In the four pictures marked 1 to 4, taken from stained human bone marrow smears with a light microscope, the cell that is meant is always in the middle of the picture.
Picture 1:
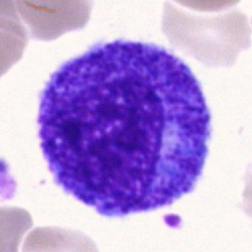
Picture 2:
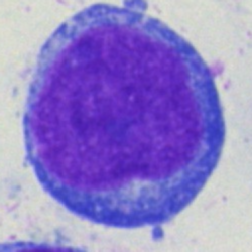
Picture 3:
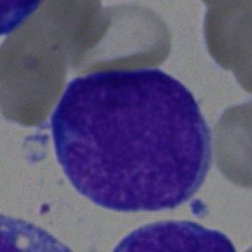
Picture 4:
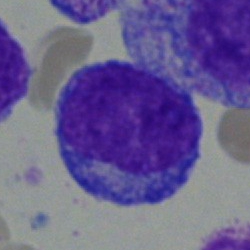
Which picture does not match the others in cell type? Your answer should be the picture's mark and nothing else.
1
